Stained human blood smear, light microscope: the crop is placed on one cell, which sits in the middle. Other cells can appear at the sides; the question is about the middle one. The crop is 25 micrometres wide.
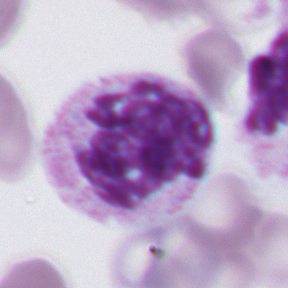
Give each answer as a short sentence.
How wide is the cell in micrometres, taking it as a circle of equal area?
The diameter of the cell comes to about 14 micrometres.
